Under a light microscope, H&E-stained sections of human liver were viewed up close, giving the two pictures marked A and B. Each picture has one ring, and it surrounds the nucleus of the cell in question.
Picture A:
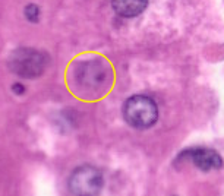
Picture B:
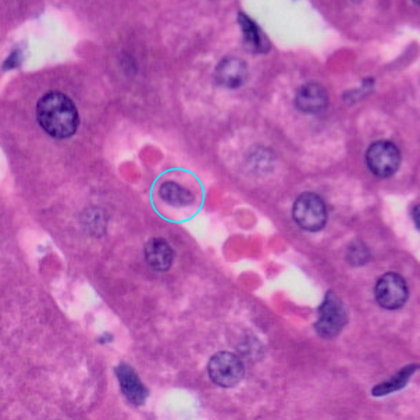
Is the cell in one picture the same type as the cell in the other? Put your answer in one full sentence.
No, picture A shows a hepatocyte and picture B shows a Kupffer cell.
